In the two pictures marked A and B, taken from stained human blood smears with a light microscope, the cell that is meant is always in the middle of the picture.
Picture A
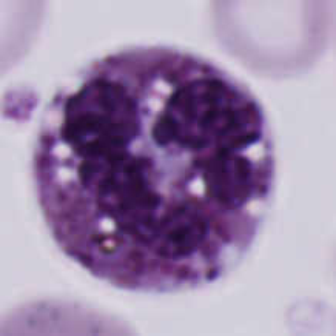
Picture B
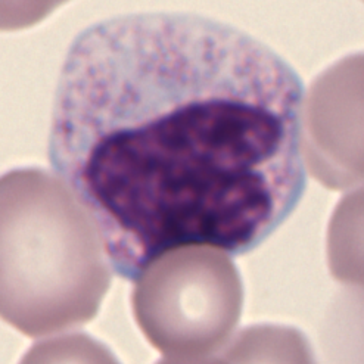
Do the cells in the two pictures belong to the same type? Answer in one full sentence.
No. Picture A shows an eosinophil, but picture B shows a band neutrophil.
